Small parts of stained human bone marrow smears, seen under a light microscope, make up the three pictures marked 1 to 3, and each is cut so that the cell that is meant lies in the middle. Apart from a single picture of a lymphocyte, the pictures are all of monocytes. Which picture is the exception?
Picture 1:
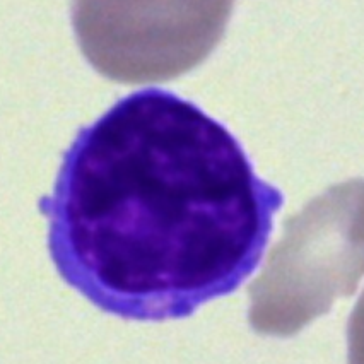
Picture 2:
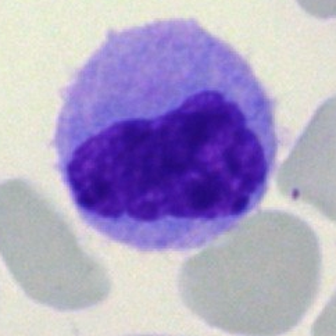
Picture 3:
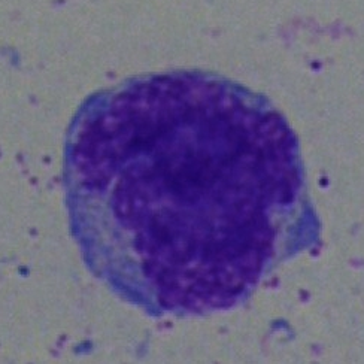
1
